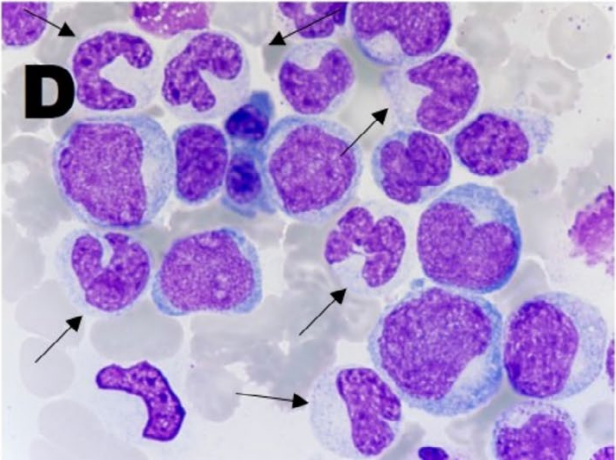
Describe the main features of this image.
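This crowded bone marrow field holds monocytes, marked by arrows, together with larger monocyte progenitors and two small, dark erythroblasts near the centre. The monocytes have folded, horseshoe-like or deeply notched nuclei and pale grey-blue cytoplasm. The progenitors are larger, with rounder nuclei, finer chromatin and a bluer rim of cytoplasm.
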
